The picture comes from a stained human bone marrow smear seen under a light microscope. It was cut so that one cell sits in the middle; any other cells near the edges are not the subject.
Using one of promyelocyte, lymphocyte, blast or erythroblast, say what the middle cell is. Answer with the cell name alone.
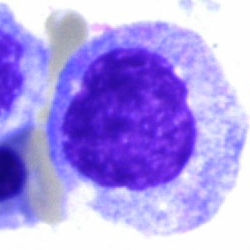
promyelocyte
